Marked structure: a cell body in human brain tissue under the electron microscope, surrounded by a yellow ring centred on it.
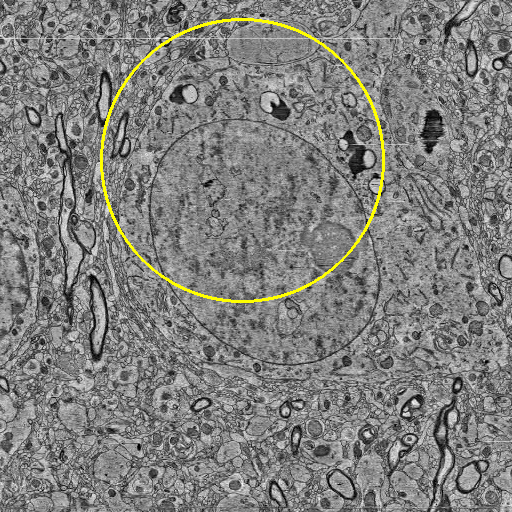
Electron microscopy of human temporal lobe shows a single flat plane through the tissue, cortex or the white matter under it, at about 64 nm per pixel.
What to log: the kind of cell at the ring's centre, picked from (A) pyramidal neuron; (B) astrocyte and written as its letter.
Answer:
A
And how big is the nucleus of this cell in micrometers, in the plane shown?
The nucleus appears roughly 17 by 13 micrometres in this plane.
